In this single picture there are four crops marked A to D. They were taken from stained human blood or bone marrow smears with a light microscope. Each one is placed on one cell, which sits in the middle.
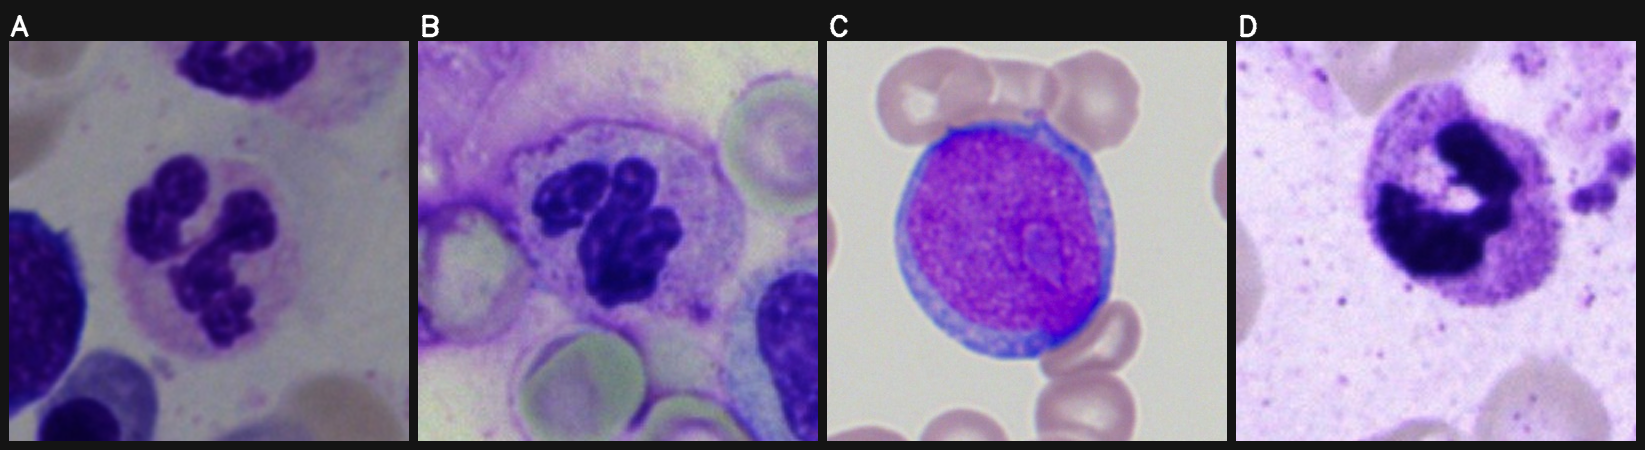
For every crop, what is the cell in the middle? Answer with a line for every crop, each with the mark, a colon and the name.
A: segmented neutrophil
B: segmented neutrophil
C: blast
D: segmented neutrophil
